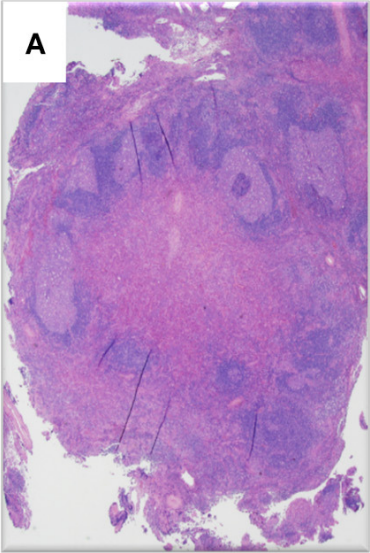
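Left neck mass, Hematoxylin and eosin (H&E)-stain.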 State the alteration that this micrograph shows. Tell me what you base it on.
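A broad pinker central zone between and inside the ring of follicles. Follicles pushed to the periphery and widely separated. On this evidence: marked interfollicular expansion.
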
